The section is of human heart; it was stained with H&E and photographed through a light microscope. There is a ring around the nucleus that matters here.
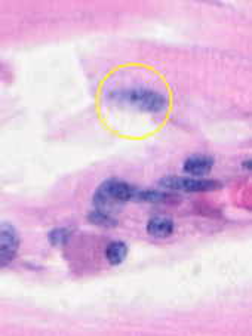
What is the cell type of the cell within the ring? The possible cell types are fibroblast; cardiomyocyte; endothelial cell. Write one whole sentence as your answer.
The cell meant here is a fibroblast.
